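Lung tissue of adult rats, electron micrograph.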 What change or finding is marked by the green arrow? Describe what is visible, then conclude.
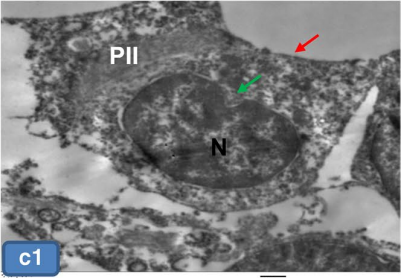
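Shrunken indented heterochromatic nucleus. The nucleus is dark, with dense chromatin. The nuclear outline has an indentation where the arrow points.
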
